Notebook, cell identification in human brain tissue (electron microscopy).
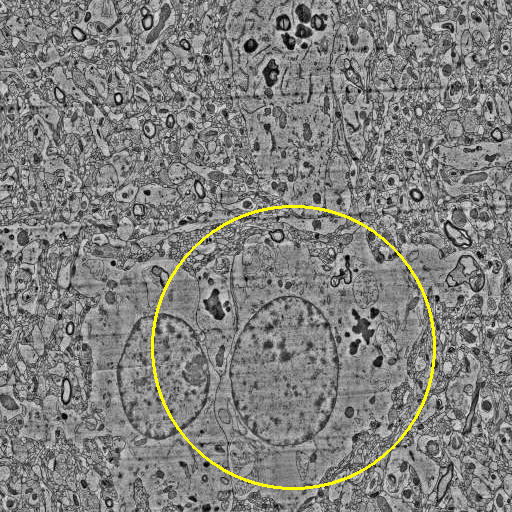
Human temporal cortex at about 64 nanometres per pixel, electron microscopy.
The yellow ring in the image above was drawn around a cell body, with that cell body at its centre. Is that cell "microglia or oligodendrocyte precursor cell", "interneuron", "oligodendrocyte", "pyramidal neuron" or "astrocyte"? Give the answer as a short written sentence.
The cell in the ring is an astrocyte.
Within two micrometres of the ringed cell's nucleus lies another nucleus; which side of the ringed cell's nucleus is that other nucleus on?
That nucleus lies to the left of it.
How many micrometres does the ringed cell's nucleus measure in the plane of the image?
The nucleus of the ringed cell is approximately 10 by 7 micrometres in this plane.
